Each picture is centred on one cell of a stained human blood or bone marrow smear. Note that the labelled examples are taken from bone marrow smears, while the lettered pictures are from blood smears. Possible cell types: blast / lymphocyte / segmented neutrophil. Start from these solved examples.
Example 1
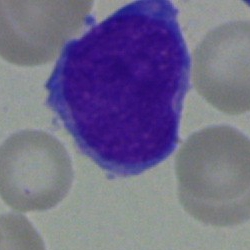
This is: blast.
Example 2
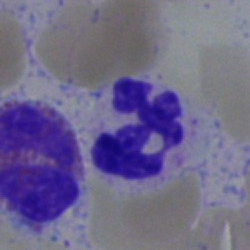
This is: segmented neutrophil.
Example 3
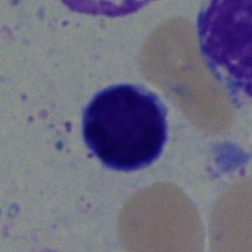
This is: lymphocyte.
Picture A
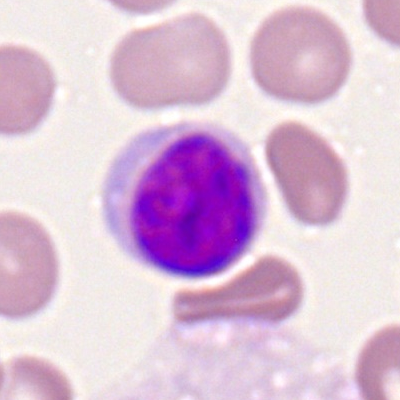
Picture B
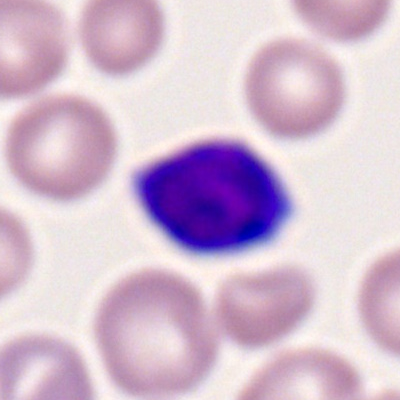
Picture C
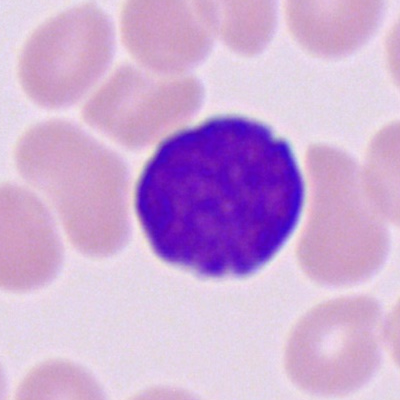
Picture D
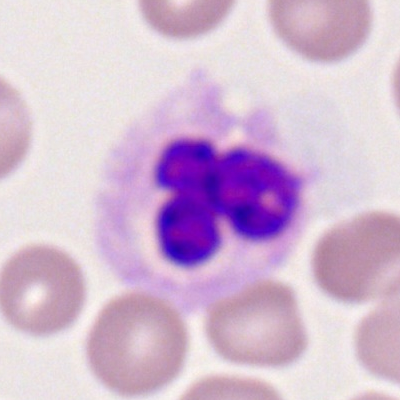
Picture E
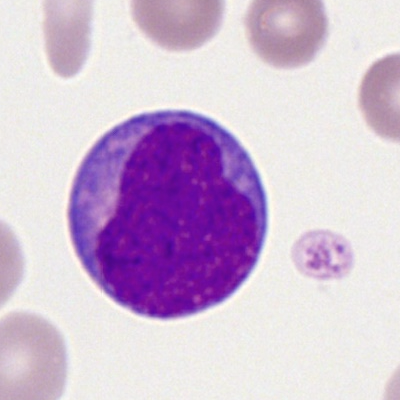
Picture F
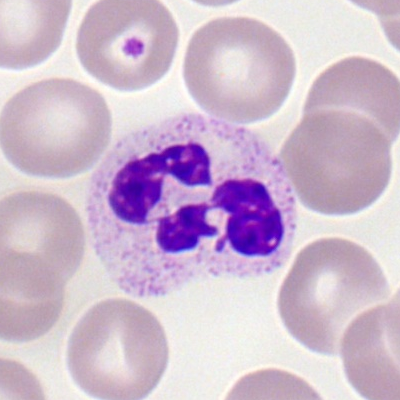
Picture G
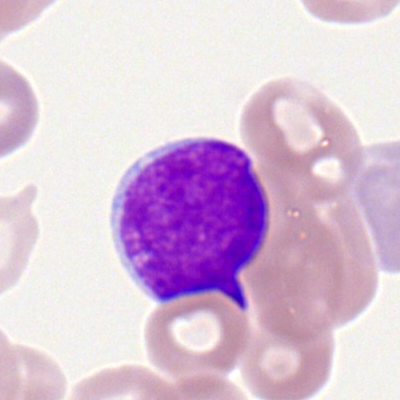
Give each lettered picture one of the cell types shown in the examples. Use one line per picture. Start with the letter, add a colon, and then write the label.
A: lymphocyte.
B: lymphocyte.
C: blast.
D: segmented neutrophil.
E: blast.
F: segmented neutrophil.
G: blast.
